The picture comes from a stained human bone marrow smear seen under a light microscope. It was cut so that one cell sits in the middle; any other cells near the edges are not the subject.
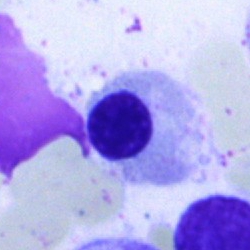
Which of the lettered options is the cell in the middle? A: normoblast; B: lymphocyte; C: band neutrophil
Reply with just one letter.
A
